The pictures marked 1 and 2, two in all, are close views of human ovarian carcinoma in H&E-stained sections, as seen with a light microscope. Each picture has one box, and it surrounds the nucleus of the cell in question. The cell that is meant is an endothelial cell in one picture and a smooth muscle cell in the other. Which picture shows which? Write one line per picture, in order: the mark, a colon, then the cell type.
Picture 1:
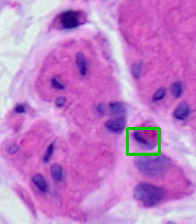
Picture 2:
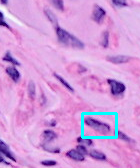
1: endothelial cell
2: smooth muscle cell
